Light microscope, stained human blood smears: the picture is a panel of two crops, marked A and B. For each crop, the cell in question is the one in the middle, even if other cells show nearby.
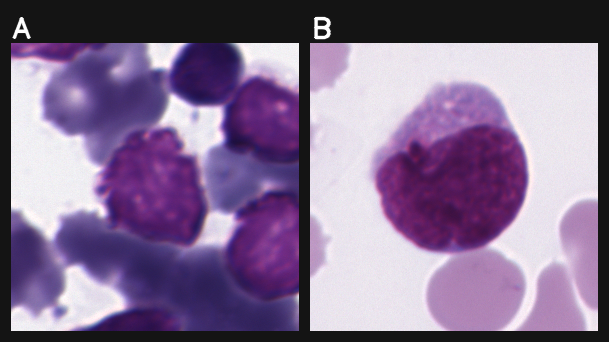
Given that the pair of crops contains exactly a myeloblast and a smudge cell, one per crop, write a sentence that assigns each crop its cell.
Crop A shows a smudge cell, whereas crop B shows a myeloblast.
